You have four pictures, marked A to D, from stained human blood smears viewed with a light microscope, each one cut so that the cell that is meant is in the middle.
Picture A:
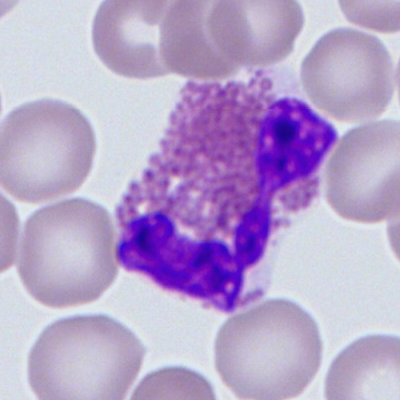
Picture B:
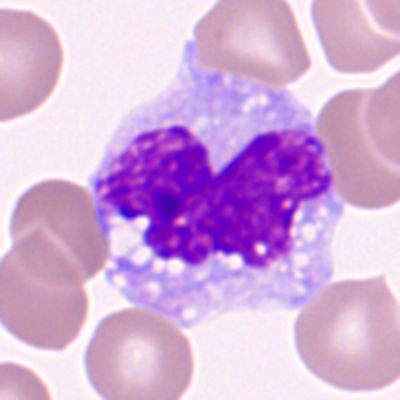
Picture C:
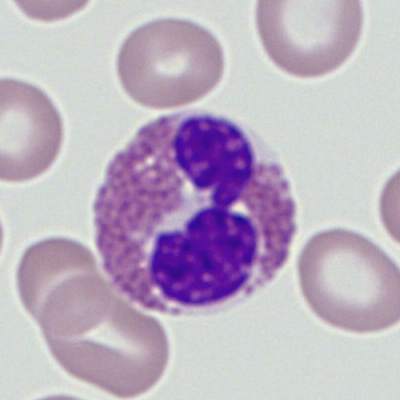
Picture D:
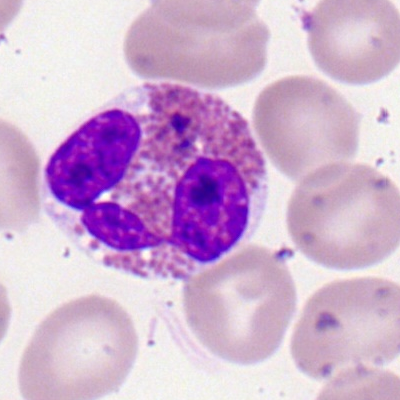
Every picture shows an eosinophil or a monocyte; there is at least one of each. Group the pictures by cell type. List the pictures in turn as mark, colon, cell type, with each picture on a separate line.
A: eosinophil
B: monocyte
C: eosinophil
D: eosinophil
